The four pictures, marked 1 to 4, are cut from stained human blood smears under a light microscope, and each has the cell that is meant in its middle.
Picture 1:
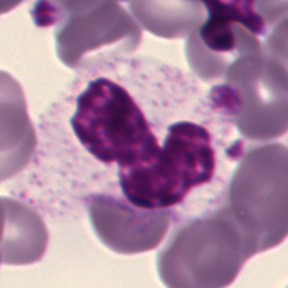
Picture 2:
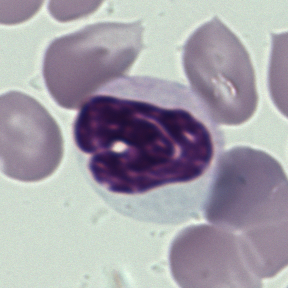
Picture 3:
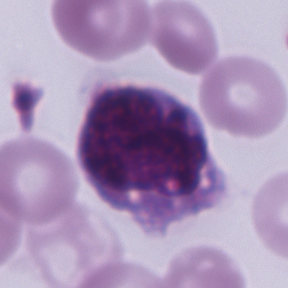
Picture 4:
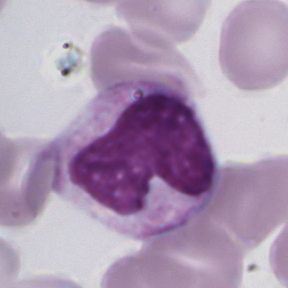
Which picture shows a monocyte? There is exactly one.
3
